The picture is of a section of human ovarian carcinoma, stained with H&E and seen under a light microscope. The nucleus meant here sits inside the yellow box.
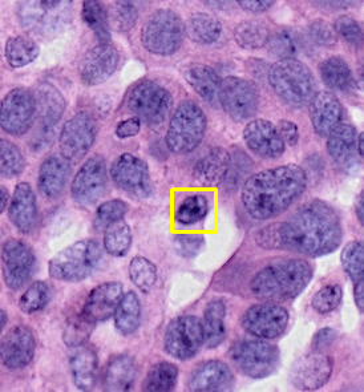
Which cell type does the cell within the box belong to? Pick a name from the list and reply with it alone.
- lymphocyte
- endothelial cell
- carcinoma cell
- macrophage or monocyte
lymphocyte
